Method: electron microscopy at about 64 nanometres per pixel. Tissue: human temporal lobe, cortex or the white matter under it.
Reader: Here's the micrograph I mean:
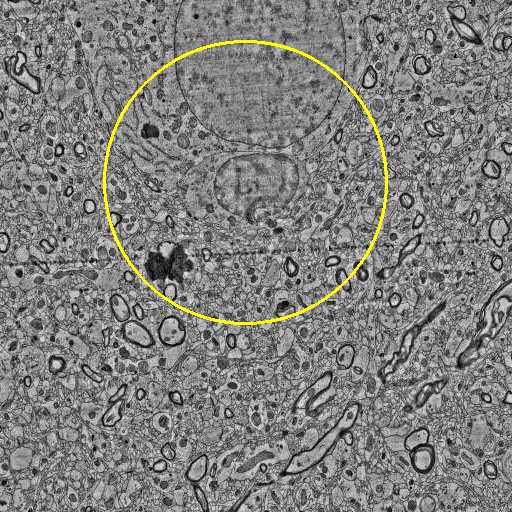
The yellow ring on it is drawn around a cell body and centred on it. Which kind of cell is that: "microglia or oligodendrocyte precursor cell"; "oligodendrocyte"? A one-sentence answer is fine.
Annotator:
The ring is centred on an oligodendrocyte.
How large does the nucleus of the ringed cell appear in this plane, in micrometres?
Approximately 6 x 4 micrometres in this plane.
